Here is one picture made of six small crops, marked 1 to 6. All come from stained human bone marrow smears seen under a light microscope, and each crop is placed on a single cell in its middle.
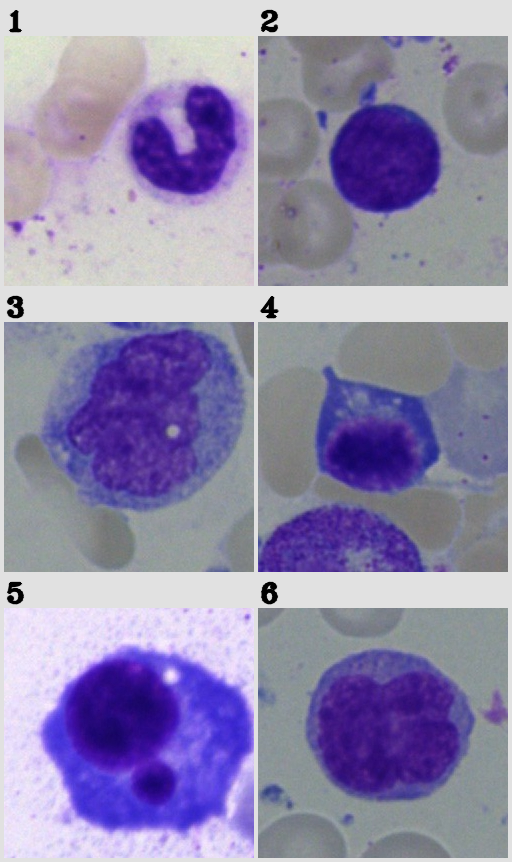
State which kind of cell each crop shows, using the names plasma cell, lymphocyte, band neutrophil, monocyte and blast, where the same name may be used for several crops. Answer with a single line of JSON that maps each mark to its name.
{"1": "band neutrophil", "2": "lymphocyte", "3": "monocyte", "4": "plasma cell", "5": "plasma cell", "6": "blast"}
